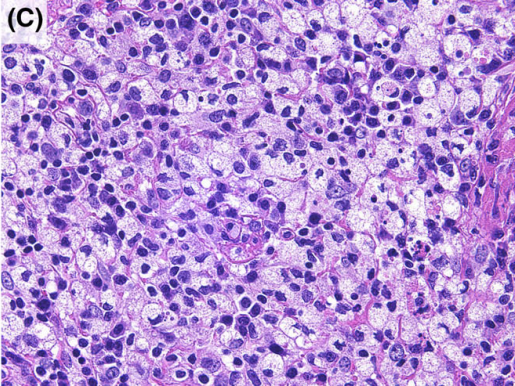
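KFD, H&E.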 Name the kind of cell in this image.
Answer: foamy histiocytes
